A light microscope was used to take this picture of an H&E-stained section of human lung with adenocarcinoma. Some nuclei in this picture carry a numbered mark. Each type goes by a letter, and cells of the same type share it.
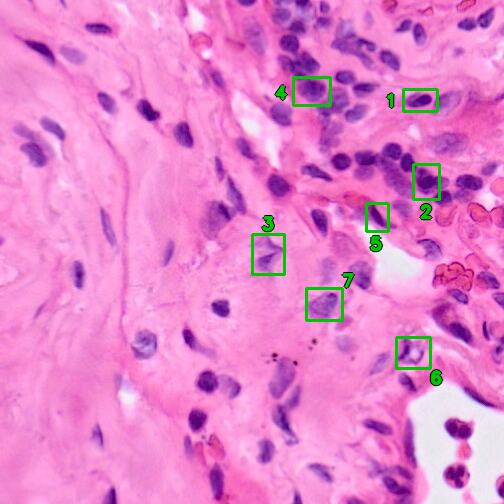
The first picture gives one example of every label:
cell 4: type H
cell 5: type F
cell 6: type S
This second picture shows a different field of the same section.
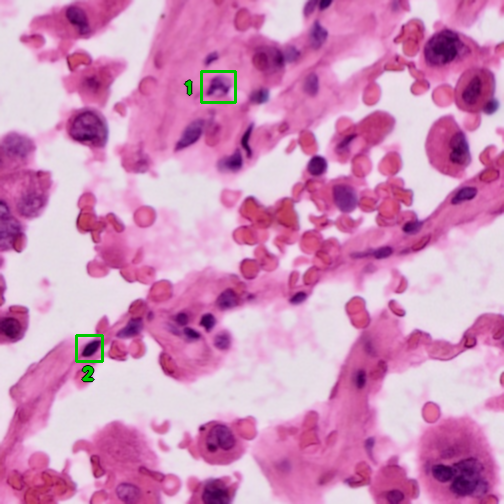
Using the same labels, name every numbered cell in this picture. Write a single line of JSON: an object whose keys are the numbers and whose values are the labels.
{"1": "type S", "2": "type F"}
